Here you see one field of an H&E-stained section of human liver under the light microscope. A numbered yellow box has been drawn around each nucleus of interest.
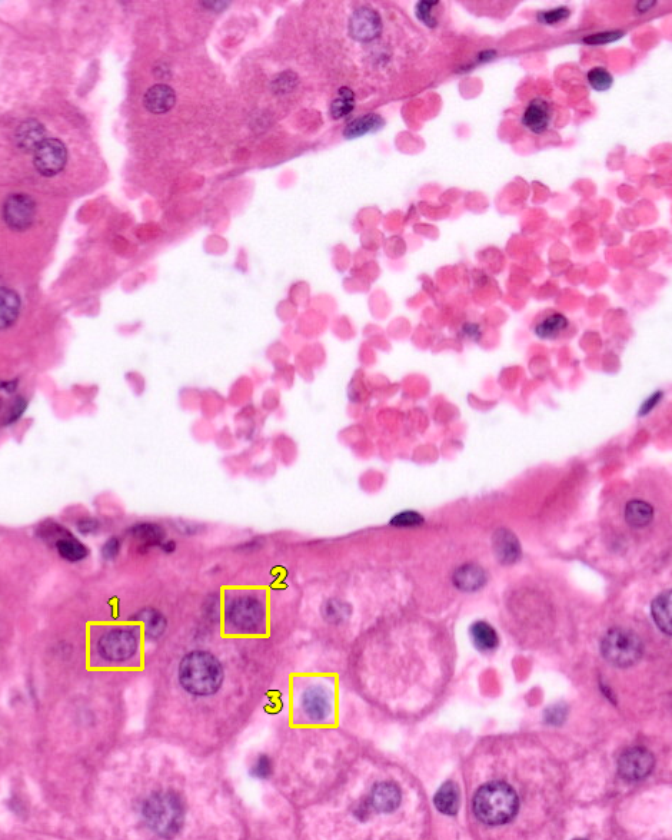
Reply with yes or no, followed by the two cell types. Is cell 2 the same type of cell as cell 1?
Yes, cells 2 and 1 are both identified as hepatocytes.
